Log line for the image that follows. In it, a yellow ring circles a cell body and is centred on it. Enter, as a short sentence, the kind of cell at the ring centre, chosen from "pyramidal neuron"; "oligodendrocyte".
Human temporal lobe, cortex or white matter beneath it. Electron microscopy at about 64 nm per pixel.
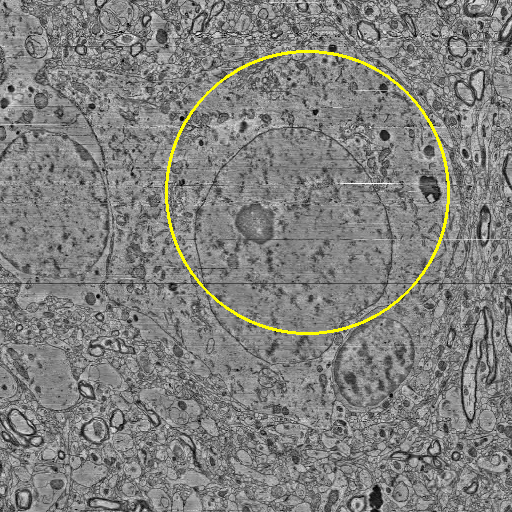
The ring centre is occupied by a pyramidal neuron.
